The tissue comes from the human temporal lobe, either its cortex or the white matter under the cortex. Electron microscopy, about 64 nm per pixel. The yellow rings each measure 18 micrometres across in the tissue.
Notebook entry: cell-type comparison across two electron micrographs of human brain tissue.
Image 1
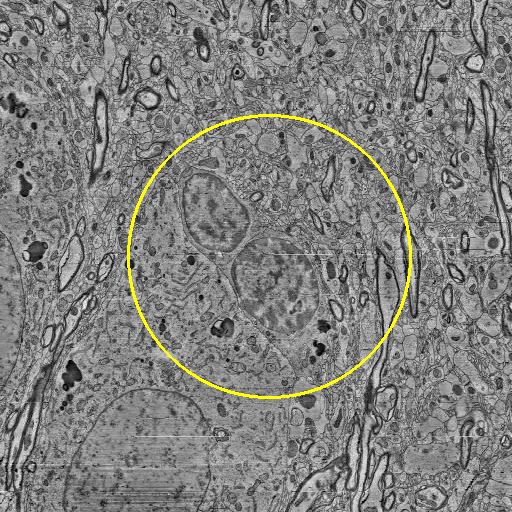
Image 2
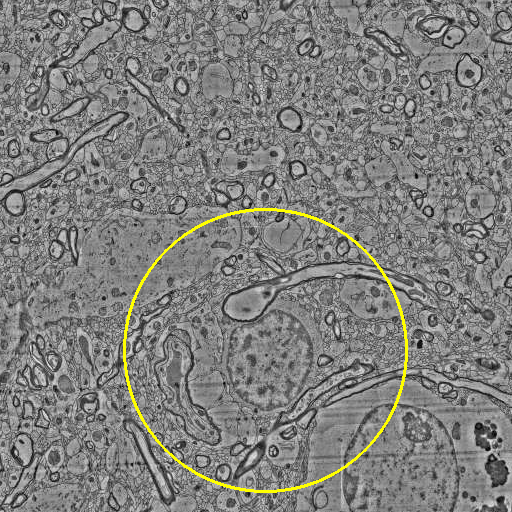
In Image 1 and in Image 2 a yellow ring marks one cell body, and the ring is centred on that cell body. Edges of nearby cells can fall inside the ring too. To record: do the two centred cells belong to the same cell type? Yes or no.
yes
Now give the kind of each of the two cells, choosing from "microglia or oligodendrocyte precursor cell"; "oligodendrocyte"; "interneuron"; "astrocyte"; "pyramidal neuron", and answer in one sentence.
Both the first and the second picture show an oligodendrocyte in the ring.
